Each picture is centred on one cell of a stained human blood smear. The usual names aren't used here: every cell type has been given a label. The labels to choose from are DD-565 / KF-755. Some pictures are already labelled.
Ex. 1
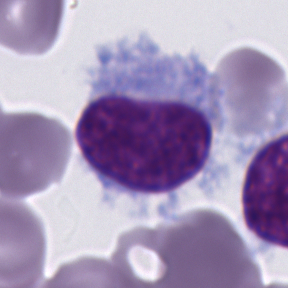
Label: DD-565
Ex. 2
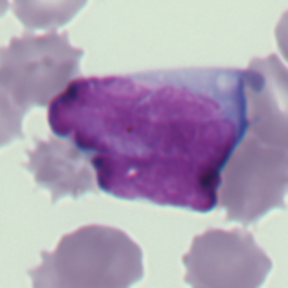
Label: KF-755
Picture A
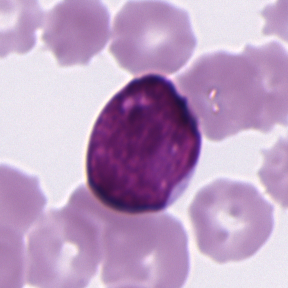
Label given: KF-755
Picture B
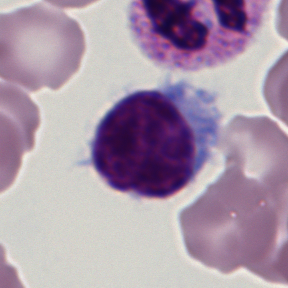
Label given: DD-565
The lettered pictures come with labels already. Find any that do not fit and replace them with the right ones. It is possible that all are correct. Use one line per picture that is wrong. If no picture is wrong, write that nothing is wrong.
Nothing to fix; every label fits.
